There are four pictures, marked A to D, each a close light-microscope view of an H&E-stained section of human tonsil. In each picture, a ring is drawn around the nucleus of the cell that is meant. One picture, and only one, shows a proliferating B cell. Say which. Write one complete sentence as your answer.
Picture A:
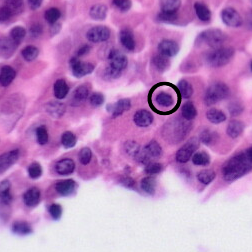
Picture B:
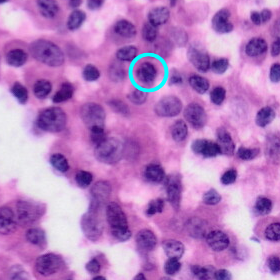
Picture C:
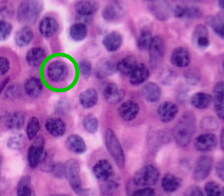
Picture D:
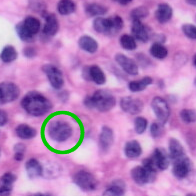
Picture D is the one that shows the proliferating B cell.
